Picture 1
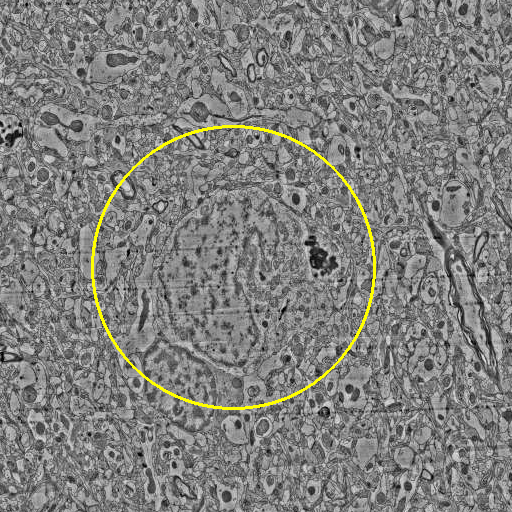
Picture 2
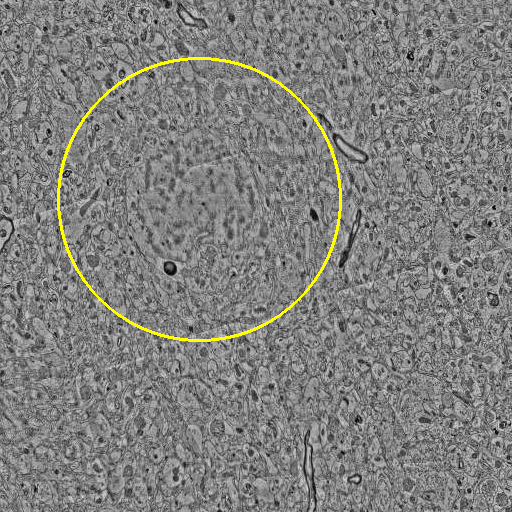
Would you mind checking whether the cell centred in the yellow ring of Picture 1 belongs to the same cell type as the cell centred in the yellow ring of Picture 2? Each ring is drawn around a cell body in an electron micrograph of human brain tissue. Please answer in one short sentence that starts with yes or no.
Yes, both cells are of the same type.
